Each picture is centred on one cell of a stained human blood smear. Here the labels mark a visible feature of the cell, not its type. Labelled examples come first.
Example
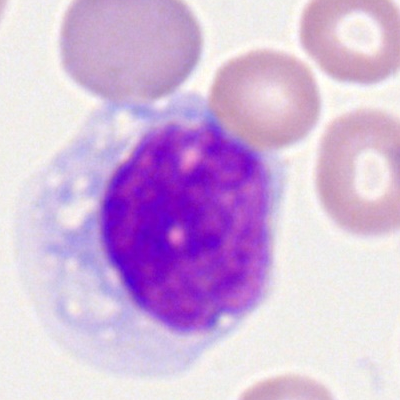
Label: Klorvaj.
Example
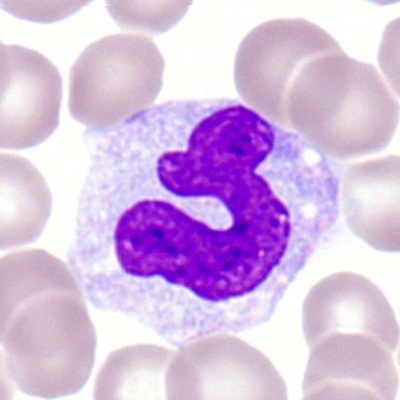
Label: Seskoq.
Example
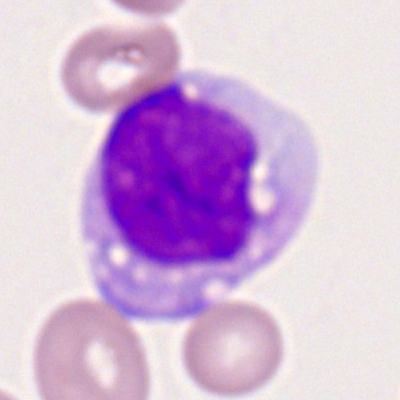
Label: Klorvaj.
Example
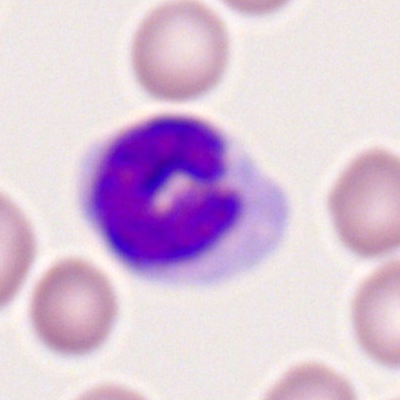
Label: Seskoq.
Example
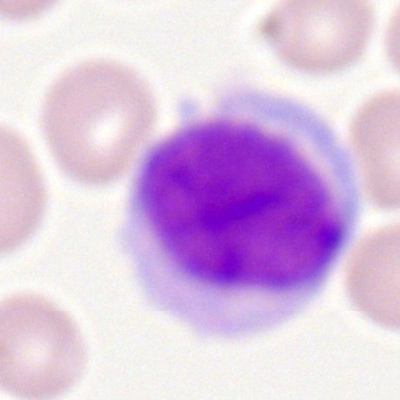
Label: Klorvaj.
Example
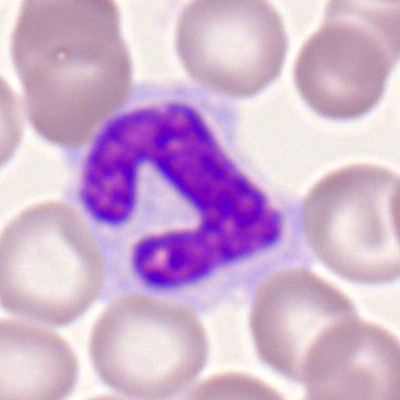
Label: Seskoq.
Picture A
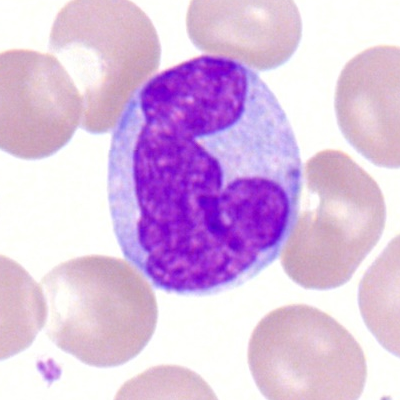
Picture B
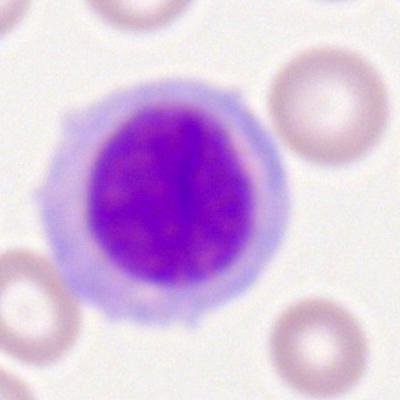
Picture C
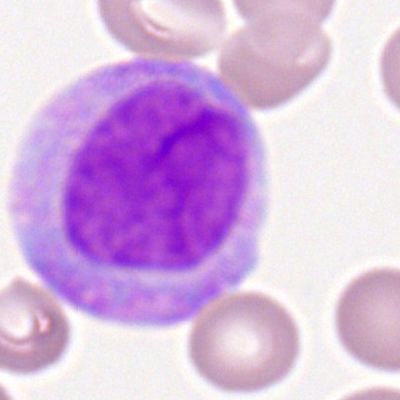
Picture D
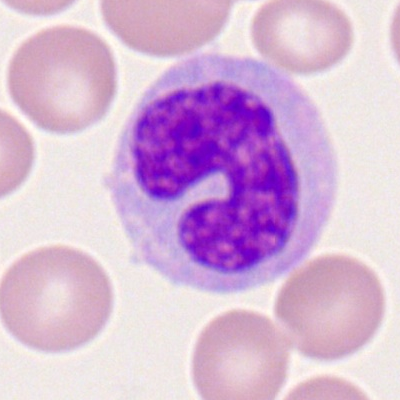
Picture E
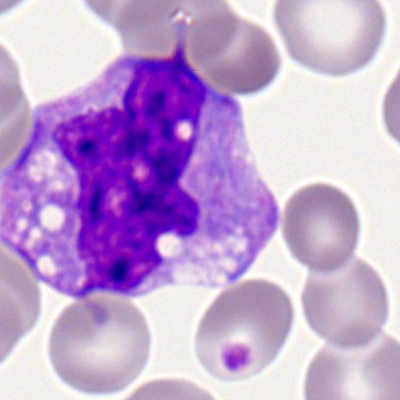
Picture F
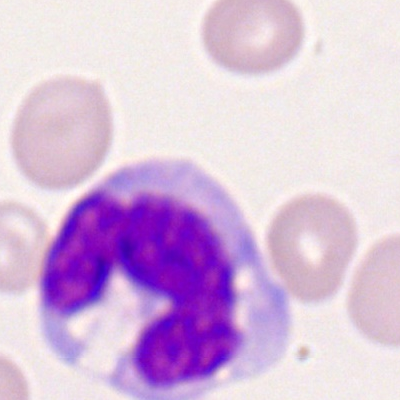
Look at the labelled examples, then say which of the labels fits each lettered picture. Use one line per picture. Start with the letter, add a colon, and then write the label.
A: Seskoq.
B: Klorvaj.
C: Klorvaj.
D: Seskoq.
E: Seskoq.
F: Seskoq.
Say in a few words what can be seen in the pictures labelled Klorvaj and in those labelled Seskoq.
Seen in Klorvaj: round or oval nucleus; seen in Seskoq: band-shaped nucleus.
